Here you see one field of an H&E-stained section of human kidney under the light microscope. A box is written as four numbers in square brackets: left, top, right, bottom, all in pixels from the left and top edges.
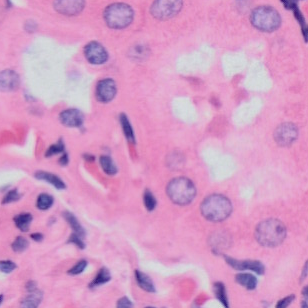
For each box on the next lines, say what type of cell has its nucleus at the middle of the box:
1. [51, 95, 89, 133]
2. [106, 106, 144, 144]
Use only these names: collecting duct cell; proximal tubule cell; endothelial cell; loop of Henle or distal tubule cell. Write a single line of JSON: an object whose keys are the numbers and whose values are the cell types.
{"1": "loop of Henle or distal tubule cell", "2": "endothelial cell"}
